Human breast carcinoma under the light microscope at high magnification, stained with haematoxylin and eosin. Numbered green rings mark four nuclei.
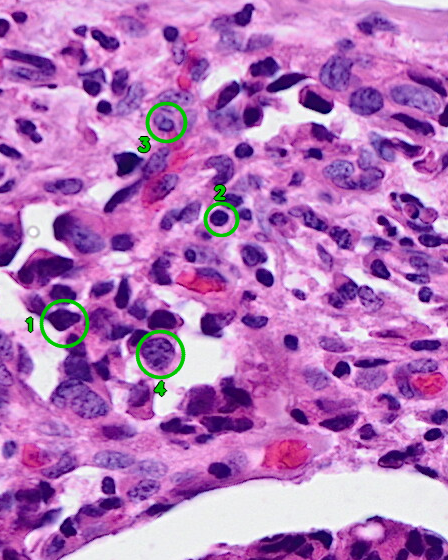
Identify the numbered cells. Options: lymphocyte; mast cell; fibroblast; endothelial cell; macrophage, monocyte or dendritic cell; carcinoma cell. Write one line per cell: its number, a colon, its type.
1: carcinoma cell
2: lymphocyte
3: endothelial cell
4: carcinoma cell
